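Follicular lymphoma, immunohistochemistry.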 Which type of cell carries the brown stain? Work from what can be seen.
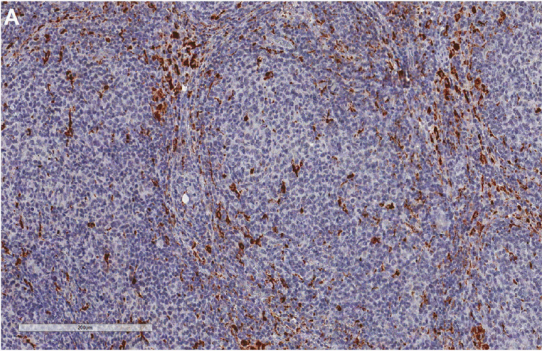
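Scattered large cells have brown-stained, irregular cytoplasm. The brown cells are larger than the surrounding blue-nucleated small cells. The brown cells cluster along bands between the nodular areas.
Answer: macrophages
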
